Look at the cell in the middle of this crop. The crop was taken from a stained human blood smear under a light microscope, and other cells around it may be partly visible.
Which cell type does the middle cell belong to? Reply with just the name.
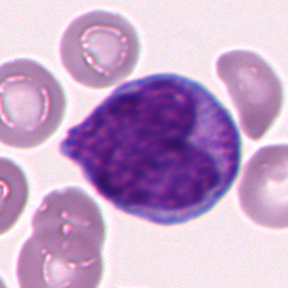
atypical promyelocyte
